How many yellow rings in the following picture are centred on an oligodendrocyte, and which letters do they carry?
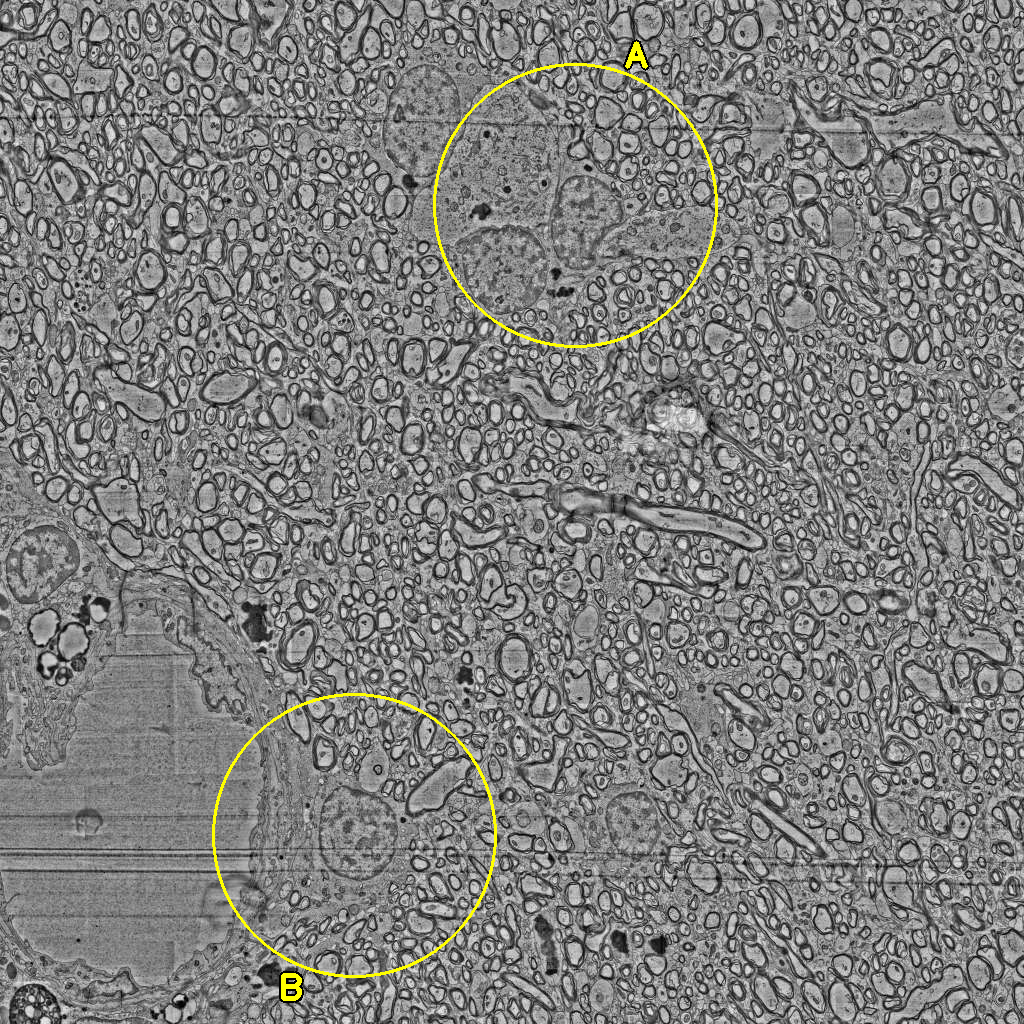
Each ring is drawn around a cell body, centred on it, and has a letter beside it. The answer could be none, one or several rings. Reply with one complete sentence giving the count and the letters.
The letters A and B sit beside two rings, each of which is centred on an oligodendrocyte.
